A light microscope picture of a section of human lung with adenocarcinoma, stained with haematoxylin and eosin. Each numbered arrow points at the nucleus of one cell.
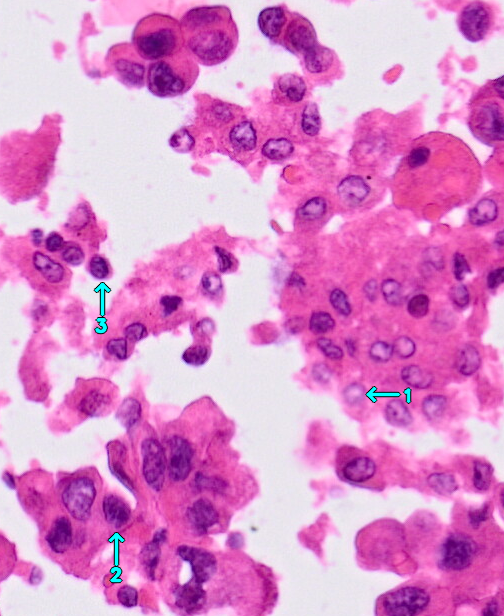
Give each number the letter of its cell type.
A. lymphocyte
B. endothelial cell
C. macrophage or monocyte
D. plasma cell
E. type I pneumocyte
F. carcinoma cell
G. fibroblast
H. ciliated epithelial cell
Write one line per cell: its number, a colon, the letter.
1: C
2: F
3: A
